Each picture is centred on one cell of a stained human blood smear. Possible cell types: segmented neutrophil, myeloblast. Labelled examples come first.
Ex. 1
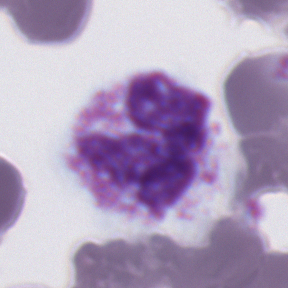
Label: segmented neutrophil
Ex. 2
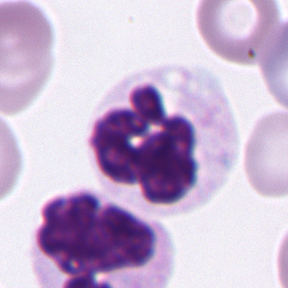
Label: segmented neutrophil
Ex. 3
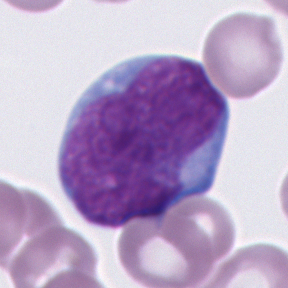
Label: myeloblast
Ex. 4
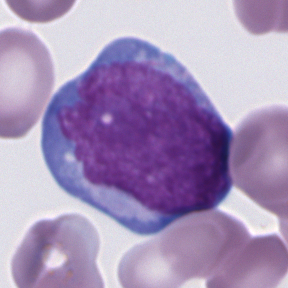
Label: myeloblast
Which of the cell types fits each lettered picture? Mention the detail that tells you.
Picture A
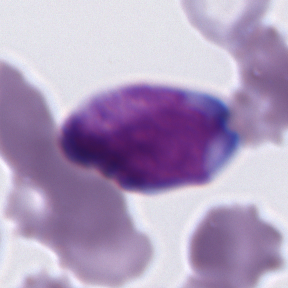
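myeloblast. The nucleus fills almost the whole cell.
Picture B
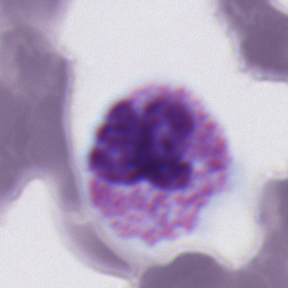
segmented neutrophil. The nucleus is made of two lobes.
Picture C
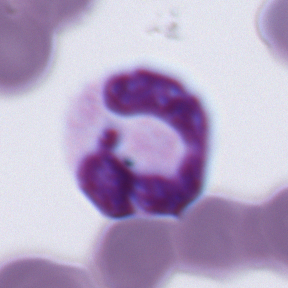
segmented neutrophil. The nucleus is a curved band that wraps around the centre of the cell, leaving a gap at the upper left.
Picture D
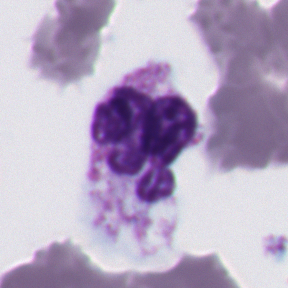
segmented neutrophil. The cytoplasm between the granules is pale and almost colourless.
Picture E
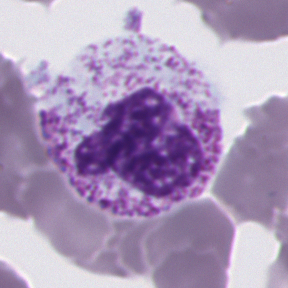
segmented neutrophil. Many granules are scattered throughout the cytoplasm.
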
